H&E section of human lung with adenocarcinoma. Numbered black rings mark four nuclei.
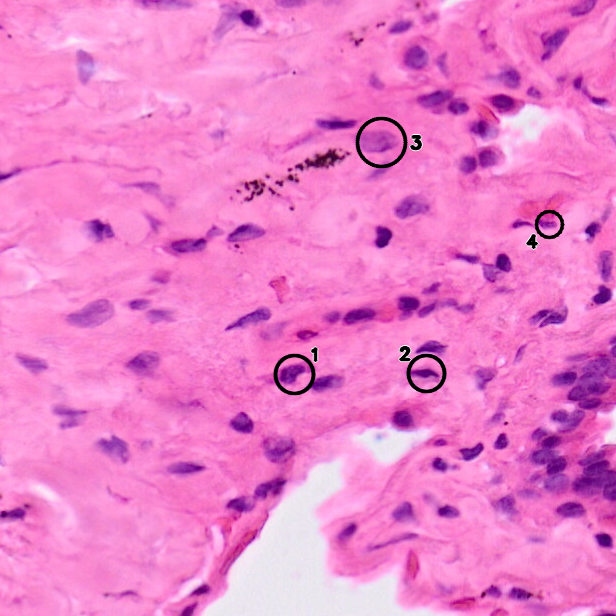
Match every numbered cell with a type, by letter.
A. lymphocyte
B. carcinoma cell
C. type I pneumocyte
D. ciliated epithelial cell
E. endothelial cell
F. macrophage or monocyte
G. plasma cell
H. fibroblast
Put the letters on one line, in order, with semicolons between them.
G; H; H; E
